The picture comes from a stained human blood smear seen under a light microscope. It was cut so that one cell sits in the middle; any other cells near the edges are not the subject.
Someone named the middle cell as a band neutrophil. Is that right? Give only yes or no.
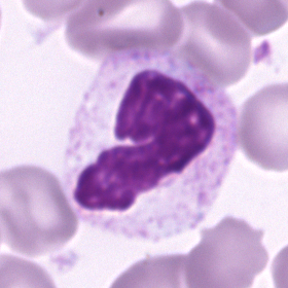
yes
